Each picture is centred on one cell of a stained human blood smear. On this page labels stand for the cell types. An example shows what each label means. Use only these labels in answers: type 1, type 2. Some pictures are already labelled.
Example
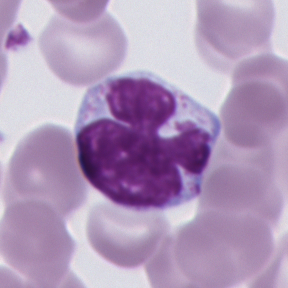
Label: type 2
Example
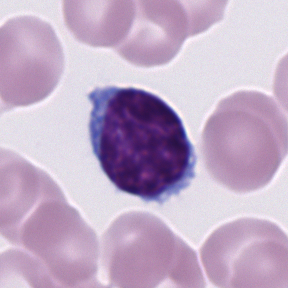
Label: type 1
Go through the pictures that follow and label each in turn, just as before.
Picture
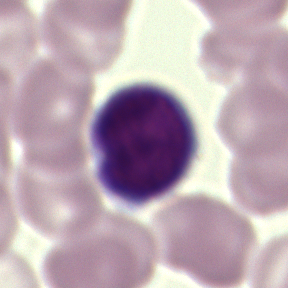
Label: type 1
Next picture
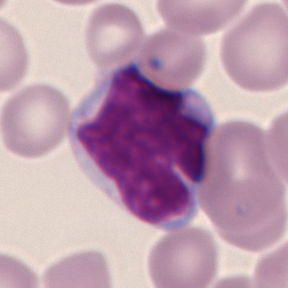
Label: type 2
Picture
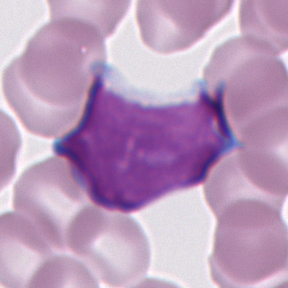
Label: type 1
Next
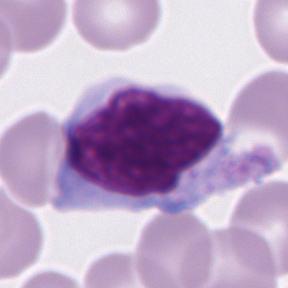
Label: type 2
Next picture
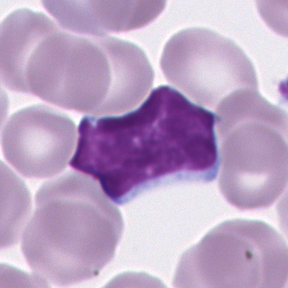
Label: type 1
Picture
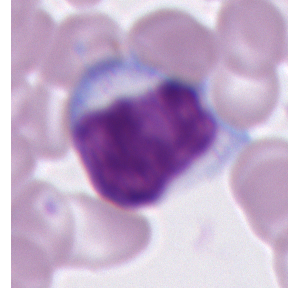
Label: type 1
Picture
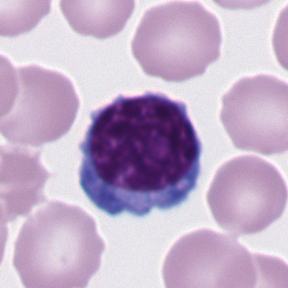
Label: type 1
